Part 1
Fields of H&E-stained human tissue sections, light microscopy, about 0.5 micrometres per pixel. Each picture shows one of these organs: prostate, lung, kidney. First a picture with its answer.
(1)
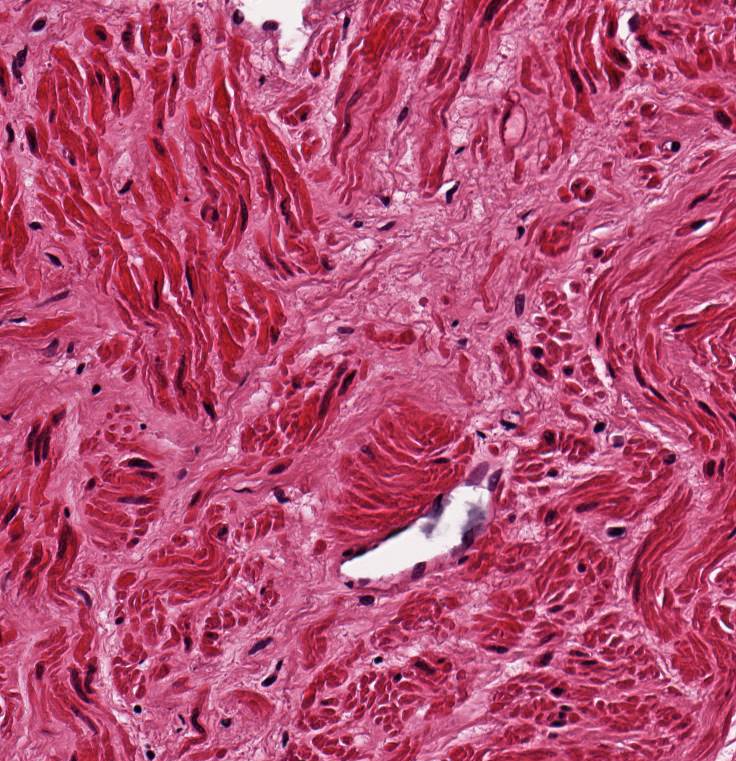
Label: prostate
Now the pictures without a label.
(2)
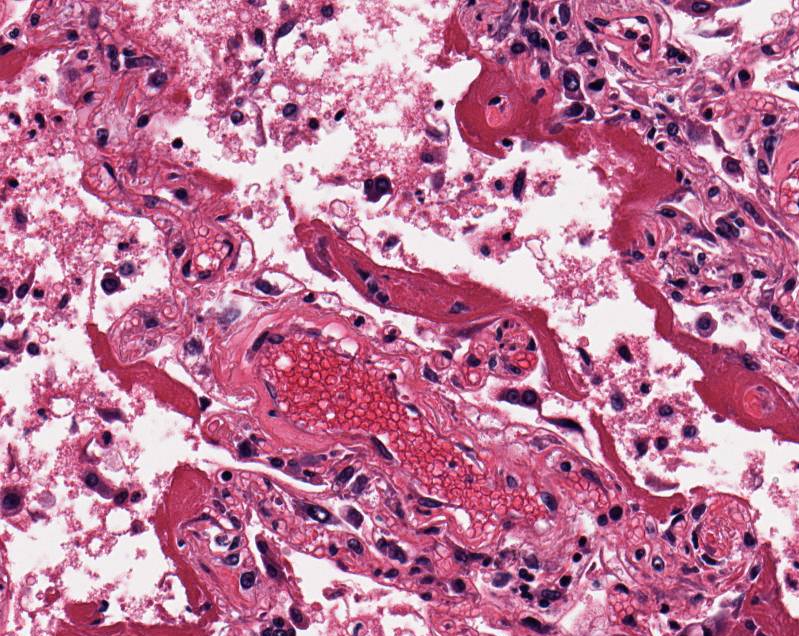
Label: lung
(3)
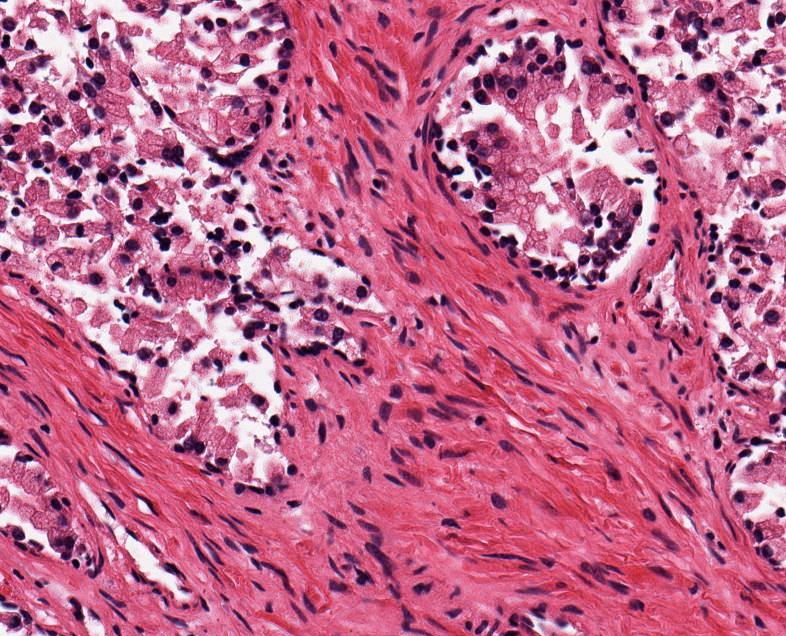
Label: prostate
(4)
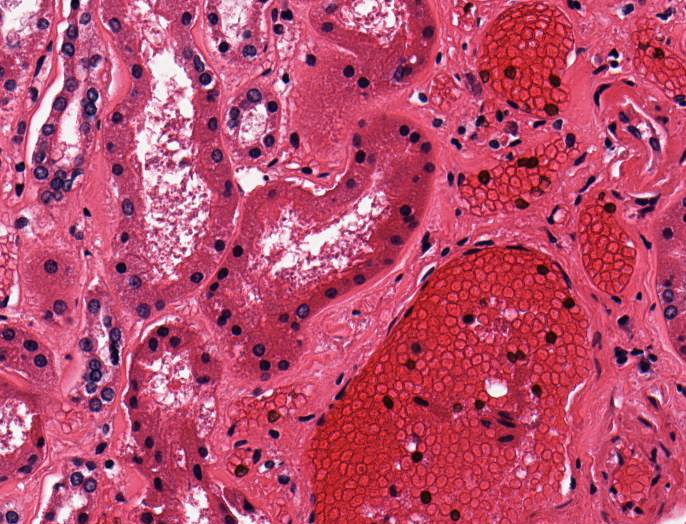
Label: kidney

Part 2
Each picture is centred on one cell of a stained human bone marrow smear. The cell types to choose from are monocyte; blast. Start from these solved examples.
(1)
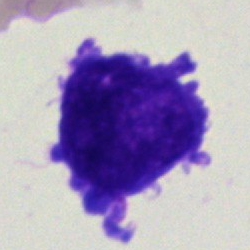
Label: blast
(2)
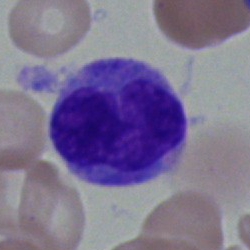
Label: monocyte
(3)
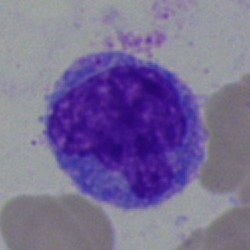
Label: monocyte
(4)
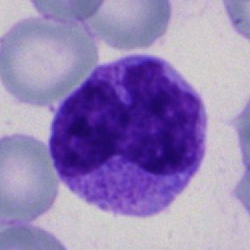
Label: monocyte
